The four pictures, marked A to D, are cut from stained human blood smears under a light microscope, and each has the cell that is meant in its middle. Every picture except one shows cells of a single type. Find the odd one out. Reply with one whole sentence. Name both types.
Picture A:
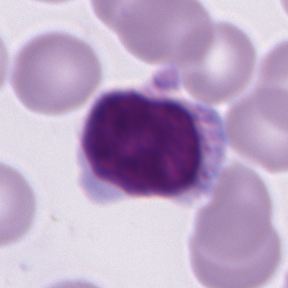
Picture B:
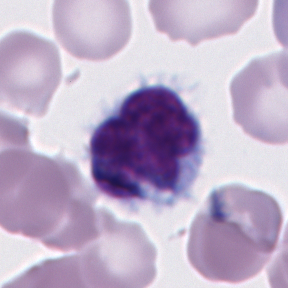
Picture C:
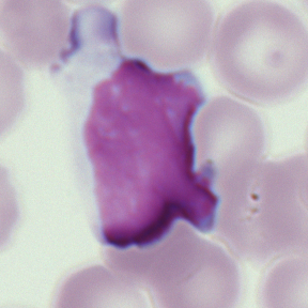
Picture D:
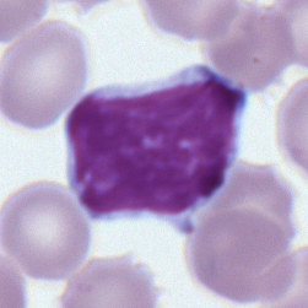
Picture B differs, because its cell is a hairy cell and the rest are typical lymphocytes.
